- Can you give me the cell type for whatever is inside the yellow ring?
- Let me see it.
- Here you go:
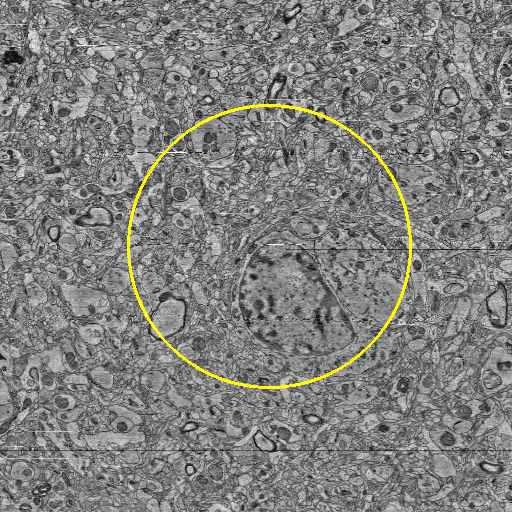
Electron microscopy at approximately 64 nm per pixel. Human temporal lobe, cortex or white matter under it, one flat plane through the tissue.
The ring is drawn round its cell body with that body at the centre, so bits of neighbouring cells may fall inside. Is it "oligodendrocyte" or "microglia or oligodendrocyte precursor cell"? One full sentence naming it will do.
The cell body in the middle of the ring in this picture belongs to a microglial cell or oligodendrocyte precursor cell.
